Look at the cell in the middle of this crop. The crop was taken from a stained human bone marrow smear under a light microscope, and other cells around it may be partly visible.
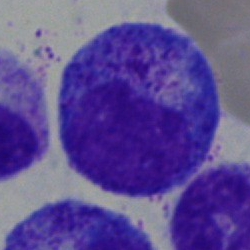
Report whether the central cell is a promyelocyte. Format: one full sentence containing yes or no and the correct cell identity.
Yes, the cell shown in the middle is a promyelocyte.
